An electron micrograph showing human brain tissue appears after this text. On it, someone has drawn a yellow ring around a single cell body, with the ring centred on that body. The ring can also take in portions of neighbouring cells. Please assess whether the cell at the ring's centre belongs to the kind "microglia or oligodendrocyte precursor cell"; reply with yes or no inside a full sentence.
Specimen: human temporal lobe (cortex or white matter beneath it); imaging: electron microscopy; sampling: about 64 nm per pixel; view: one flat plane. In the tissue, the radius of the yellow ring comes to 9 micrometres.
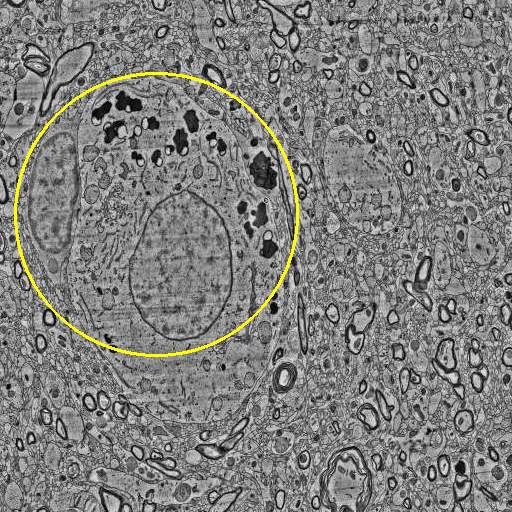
No, in this micrograph the cell at the centre of the ring is of another kind.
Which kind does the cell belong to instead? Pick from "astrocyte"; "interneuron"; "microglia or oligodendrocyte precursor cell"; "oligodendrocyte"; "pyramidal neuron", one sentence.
In this picture, the ring is centred on a pyramidal neuron.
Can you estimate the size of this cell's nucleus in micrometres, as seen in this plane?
About 10 by 7 micrometers for the nucleus, in this plane.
